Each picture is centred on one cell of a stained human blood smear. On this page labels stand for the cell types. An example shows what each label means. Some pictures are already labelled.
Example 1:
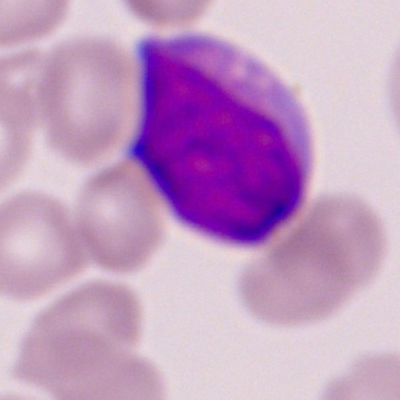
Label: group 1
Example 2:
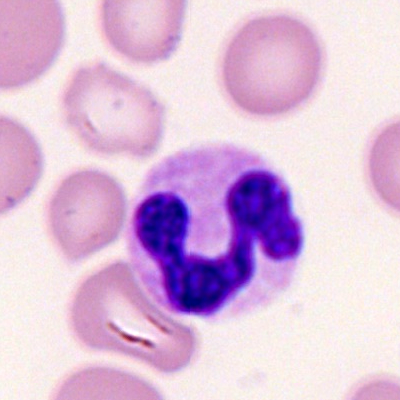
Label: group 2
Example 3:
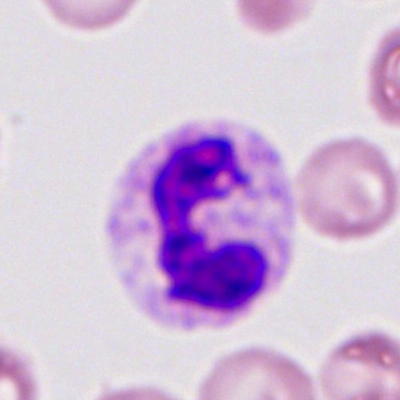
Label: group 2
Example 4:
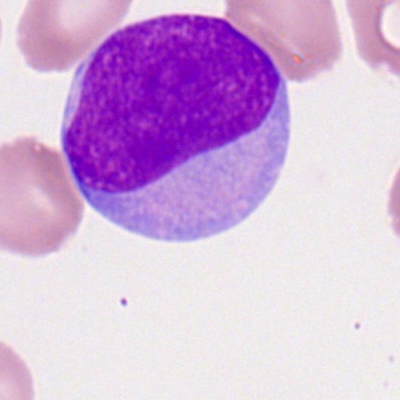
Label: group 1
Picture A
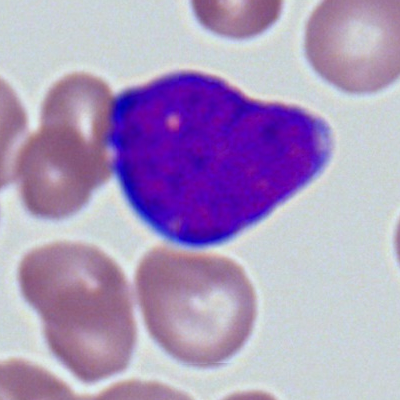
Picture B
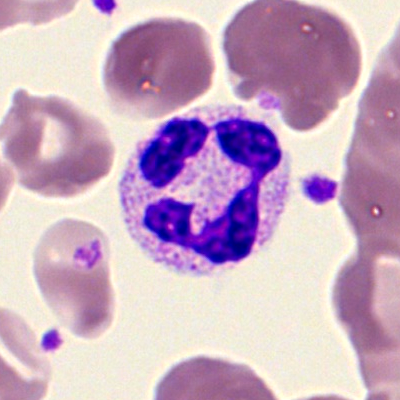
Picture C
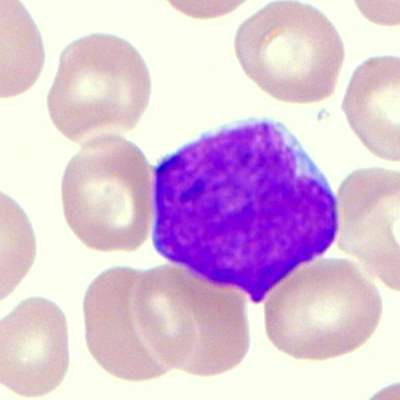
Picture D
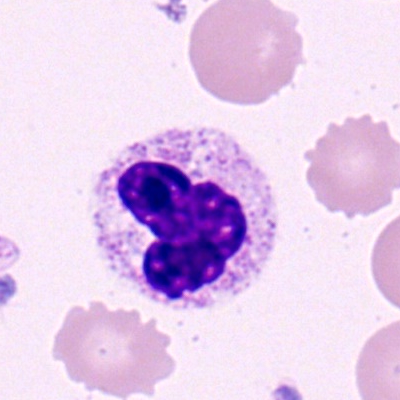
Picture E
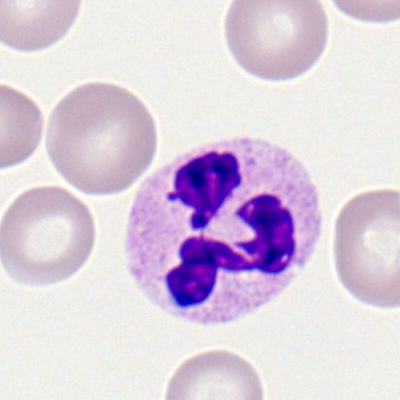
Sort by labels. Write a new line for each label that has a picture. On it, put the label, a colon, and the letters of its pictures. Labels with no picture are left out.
group 1: A, C
group 2: B, D, E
